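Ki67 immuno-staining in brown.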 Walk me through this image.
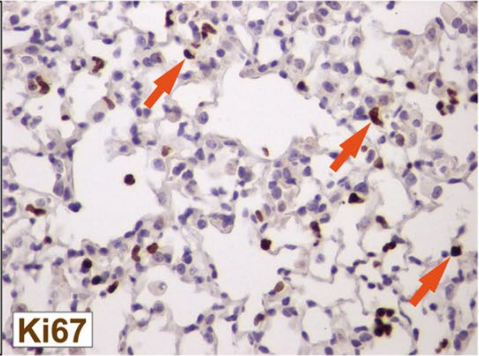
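The septa carry small oval and round nuclei counterstained blue, and a number of these nuclei, scattered singly through the walls, are stained dark brown. The cytoplasm of the septal cells is pale and thin, and a few rounded cells lie free in the air spaces.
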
